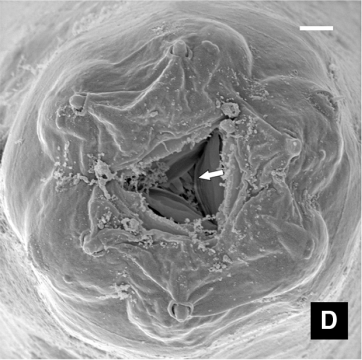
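An en face view of a nematode head shows a rounded cuticular surface with lips arranged around a central triangular mouth opening. Several small rimmed papillae sit on the lips at regular intervals around the opening. Deep within the mouth, pointed plate-like teeth project into the opening. Scattered debris lies on the lips.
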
